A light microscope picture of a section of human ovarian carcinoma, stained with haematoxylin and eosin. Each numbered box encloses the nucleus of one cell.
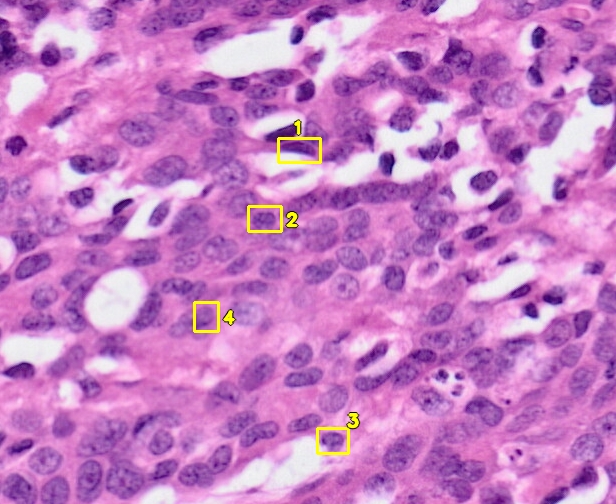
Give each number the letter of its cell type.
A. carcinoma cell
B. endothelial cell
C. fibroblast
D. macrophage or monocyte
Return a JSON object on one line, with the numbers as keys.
{"1": "A", "2": "A", "3": "D", "4": "A"}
